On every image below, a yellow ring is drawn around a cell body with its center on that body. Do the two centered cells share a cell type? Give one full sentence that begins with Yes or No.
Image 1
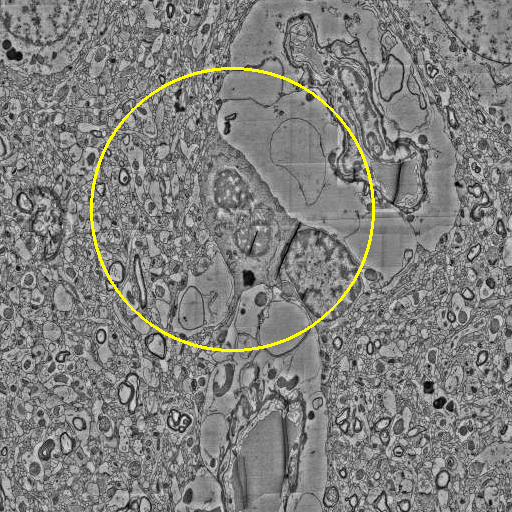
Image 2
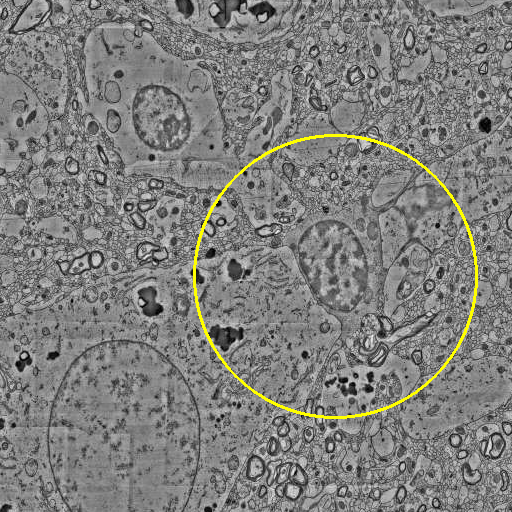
Yes, the centered cells in the two images are of a single cell type.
